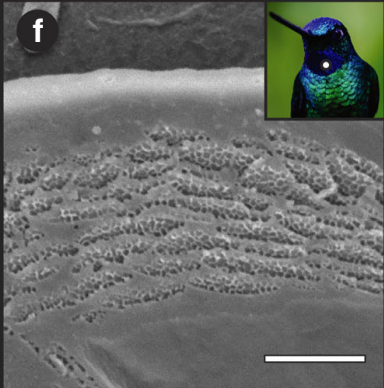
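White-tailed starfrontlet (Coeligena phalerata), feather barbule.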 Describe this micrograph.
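A smooth outer surface caps the fractured edge. Beneath it, flattened bodies lie in stacked rows parallel to the surface. The interiors of these bodies are riddled with small holes. The rows sit within a smooth matrix.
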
